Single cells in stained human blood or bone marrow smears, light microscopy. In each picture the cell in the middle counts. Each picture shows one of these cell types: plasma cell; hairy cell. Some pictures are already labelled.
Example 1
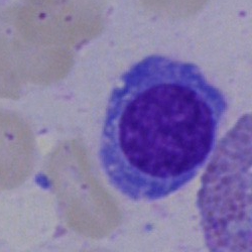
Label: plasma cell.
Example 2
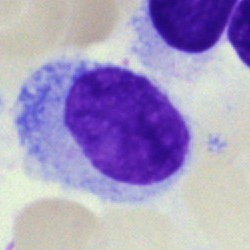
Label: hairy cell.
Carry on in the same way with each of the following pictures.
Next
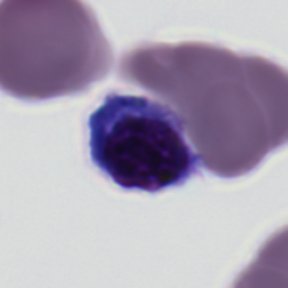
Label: plasma cell.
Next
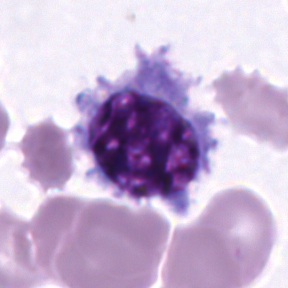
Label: plasma cell.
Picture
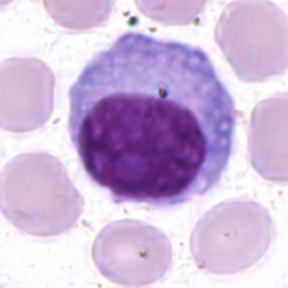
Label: plasma cell.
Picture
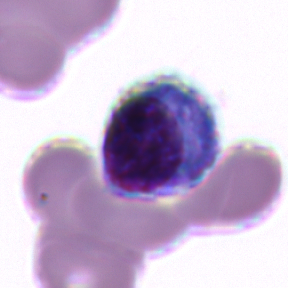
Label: plasma cell.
